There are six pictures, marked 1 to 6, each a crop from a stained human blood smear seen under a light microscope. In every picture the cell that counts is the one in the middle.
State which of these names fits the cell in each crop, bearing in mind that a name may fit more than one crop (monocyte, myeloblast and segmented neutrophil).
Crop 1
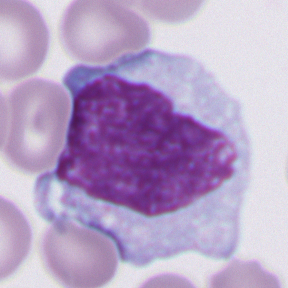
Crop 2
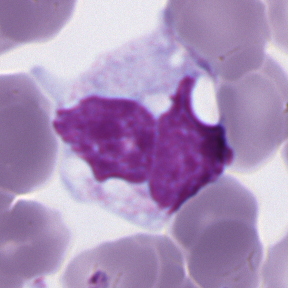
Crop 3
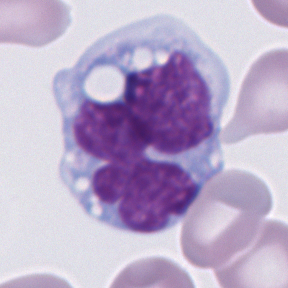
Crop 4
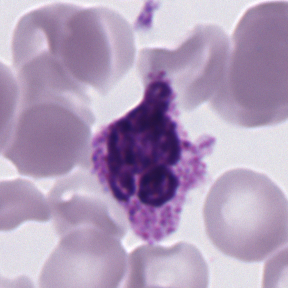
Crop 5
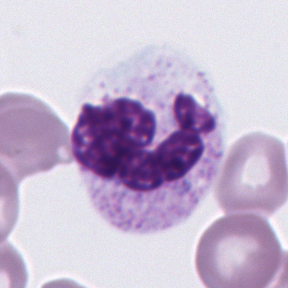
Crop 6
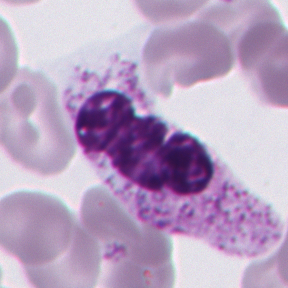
1: monocyte
2: monocyte
3: monocyte
4: segmented neutrophil
5: segmented neutrophil
6: segmented neutrophil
